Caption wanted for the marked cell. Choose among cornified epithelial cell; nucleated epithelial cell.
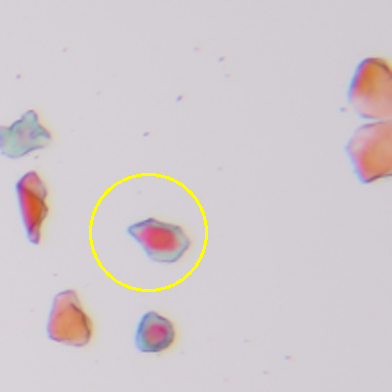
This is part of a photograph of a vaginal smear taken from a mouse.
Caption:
Ringed in yellow is a nucleated epithelial cell.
